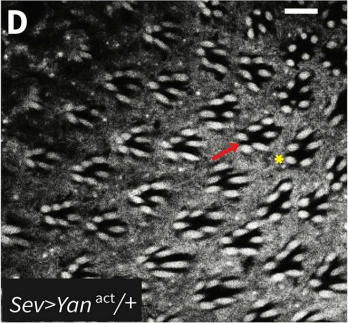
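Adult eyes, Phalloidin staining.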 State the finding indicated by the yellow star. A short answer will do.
Ommatidia with five outer rhabdomeres.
